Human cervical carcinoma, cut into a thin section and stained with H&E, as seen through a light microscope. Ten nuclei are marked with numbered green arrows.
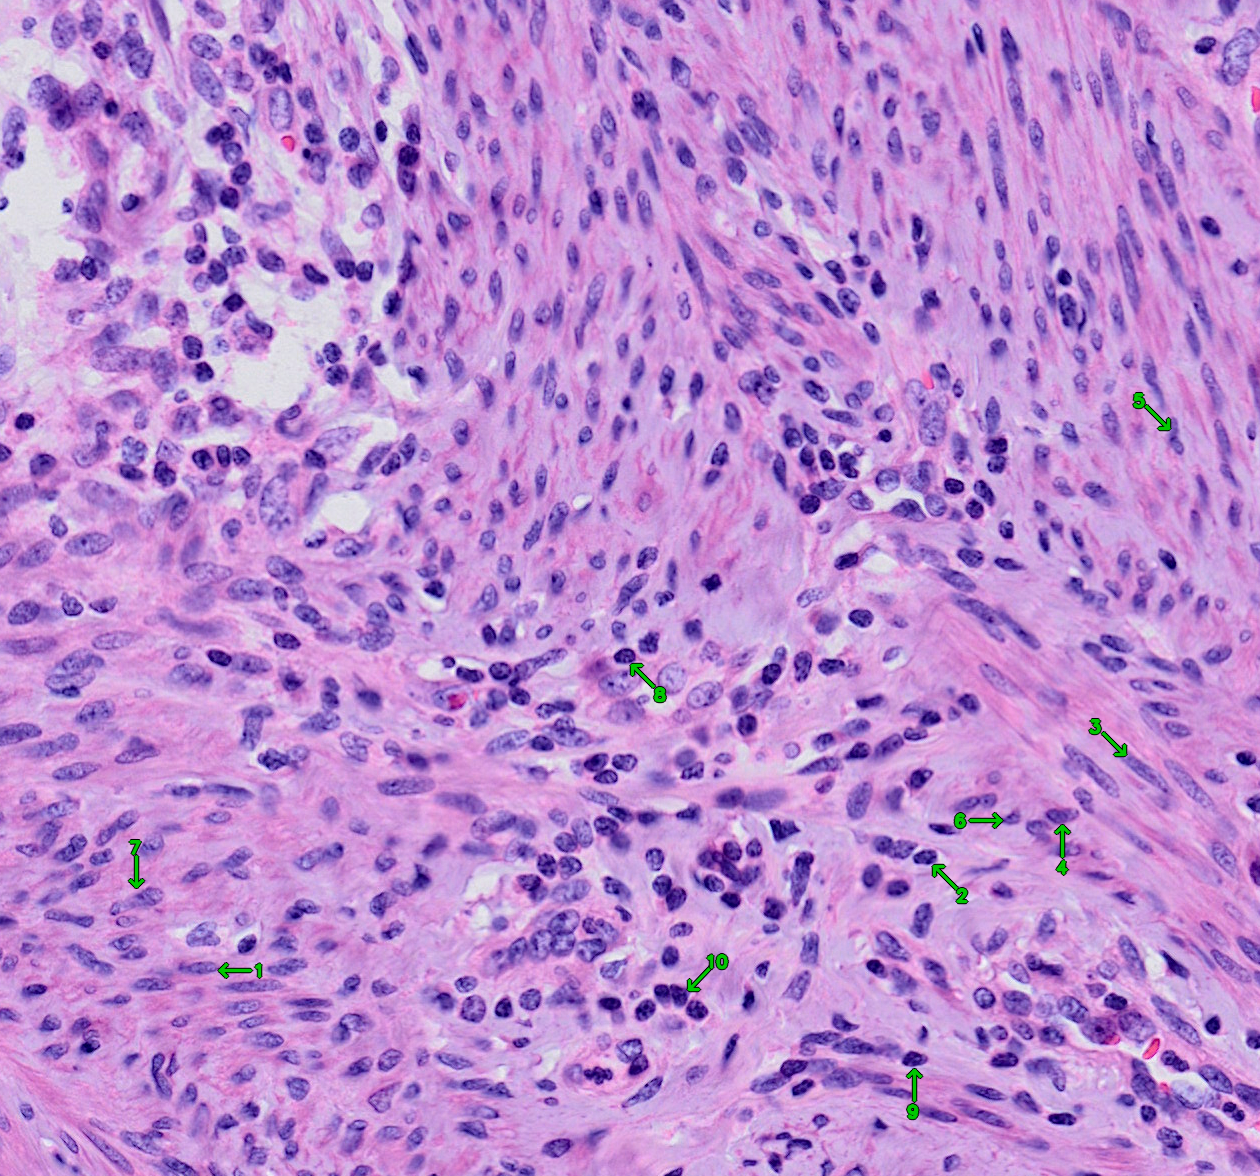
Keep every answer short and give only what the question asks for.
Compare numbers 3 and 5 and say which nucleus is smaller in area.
5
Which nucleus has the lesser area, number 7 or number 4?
4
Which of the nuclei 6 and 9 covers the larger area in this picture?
9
